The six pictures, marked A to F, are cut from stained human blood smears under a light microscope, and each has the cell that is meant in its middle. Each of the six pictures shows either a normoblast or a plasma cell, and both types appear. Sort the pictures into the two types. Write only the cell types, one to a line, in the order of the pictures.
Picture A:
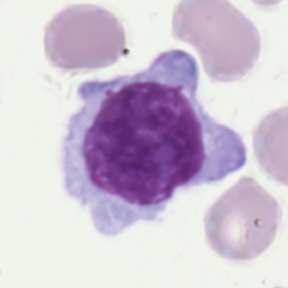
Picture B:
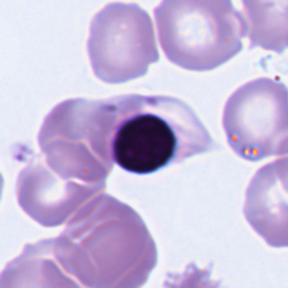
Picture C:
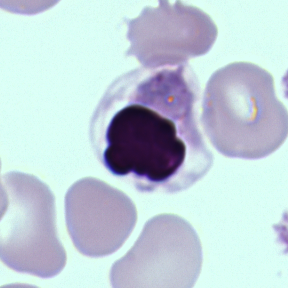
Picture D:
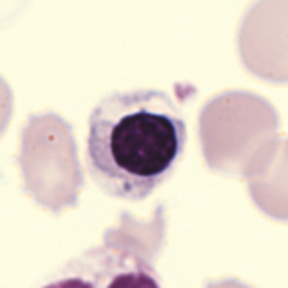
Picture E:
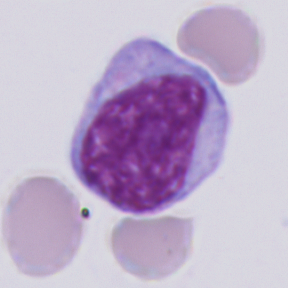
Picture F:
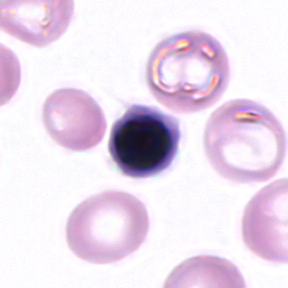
plasma cell
normoblast
normoblast
normoblast
plasma cell
normoblast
